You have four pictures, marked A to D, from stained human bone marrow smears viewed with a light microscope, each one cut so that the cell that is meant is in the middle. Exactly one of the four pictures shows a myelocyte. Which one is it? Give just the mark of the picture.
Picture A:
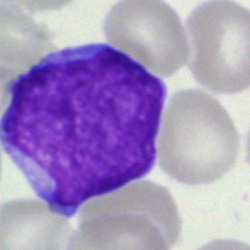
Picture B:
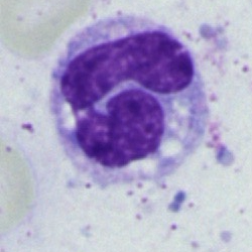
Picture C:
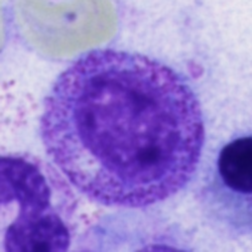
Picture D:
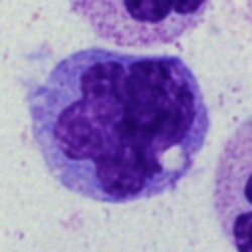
C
